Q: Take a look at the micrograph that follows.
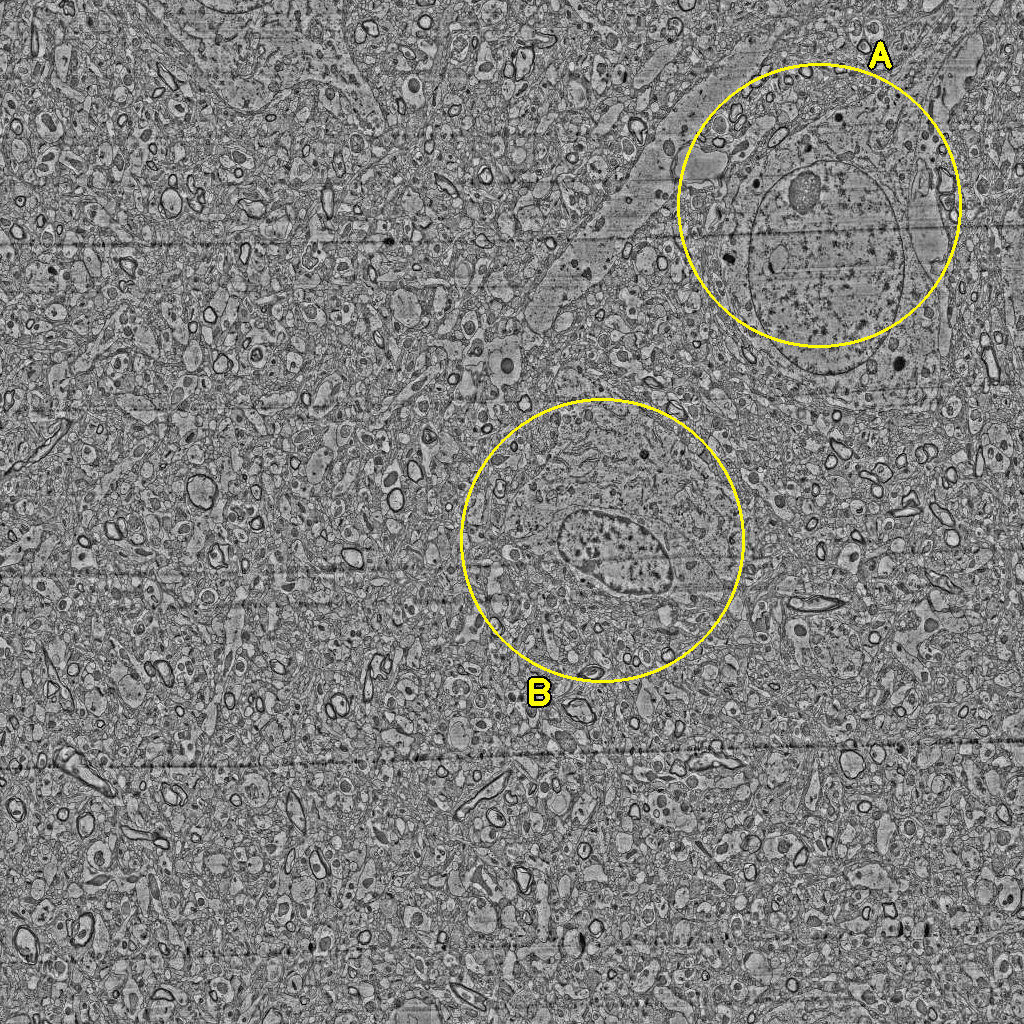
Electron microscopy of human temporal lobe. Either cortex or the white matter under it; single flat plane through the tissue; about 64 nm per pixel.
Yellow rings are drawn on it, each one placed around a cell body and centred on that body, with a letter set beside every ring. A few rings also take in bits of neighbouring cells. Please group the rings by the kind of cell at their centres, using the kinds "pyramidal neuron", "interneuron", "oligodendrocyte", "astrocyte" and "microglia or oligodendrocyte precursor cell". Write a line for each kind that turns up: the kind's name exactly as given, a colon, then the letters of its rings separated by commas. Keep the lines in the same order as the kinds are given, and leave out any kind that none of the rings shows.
pyramidal neuron: A
microglia or oligodendrocyte precursor cell: B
